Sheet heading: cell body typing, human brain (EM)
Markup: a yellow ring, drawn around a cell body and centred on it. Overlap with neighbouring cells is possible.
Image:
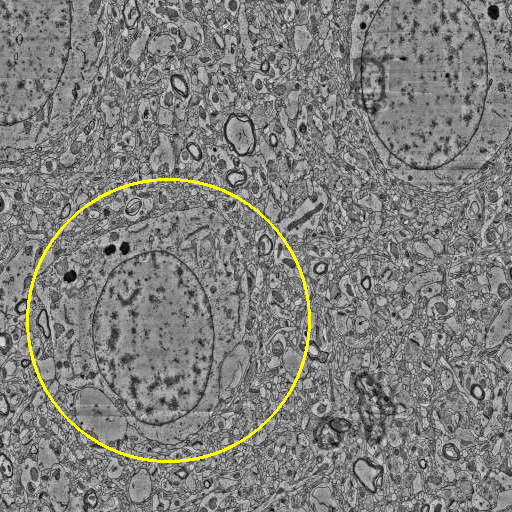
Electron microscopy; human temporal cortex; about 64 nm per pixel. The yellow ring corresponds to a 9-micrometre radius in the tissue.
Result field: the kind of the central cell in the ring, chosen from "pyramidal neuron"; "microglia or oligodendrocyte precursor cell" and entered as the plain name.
pyramidal neuron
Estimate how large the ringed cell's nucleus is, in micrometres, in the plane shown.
Roughly 11 micrometres by 8 micrometres, in this plane.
